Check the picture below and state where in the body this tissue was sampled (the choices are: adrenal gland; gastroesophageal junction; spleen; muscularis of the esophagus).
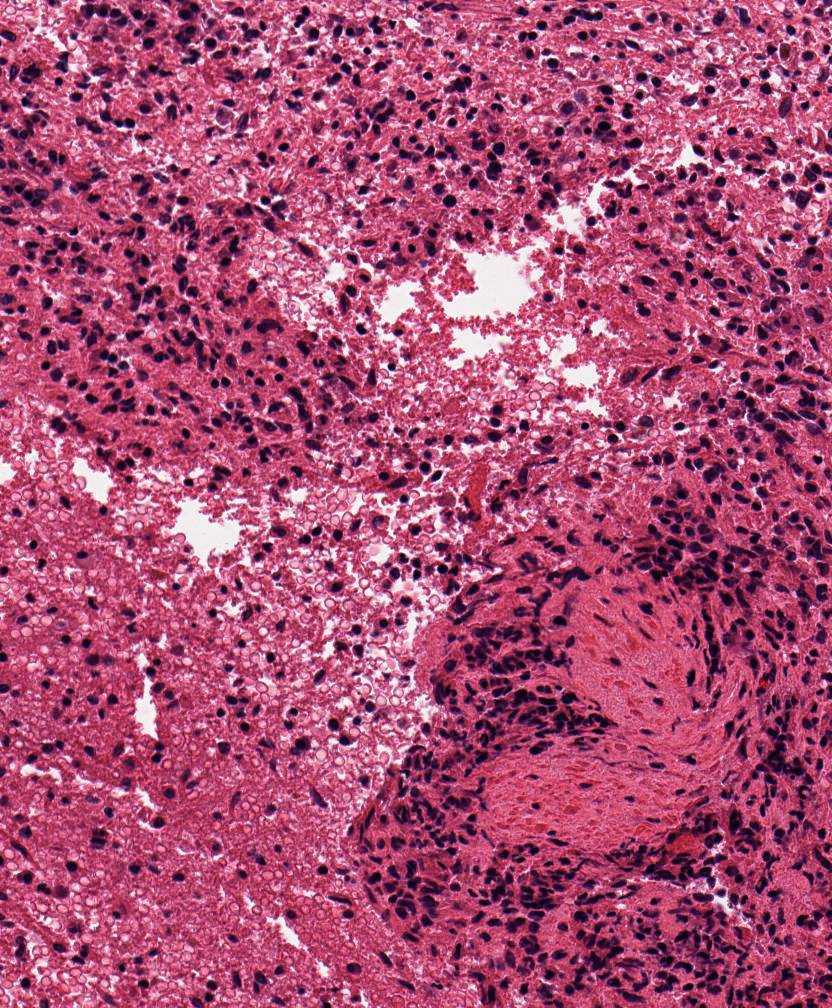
spleen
